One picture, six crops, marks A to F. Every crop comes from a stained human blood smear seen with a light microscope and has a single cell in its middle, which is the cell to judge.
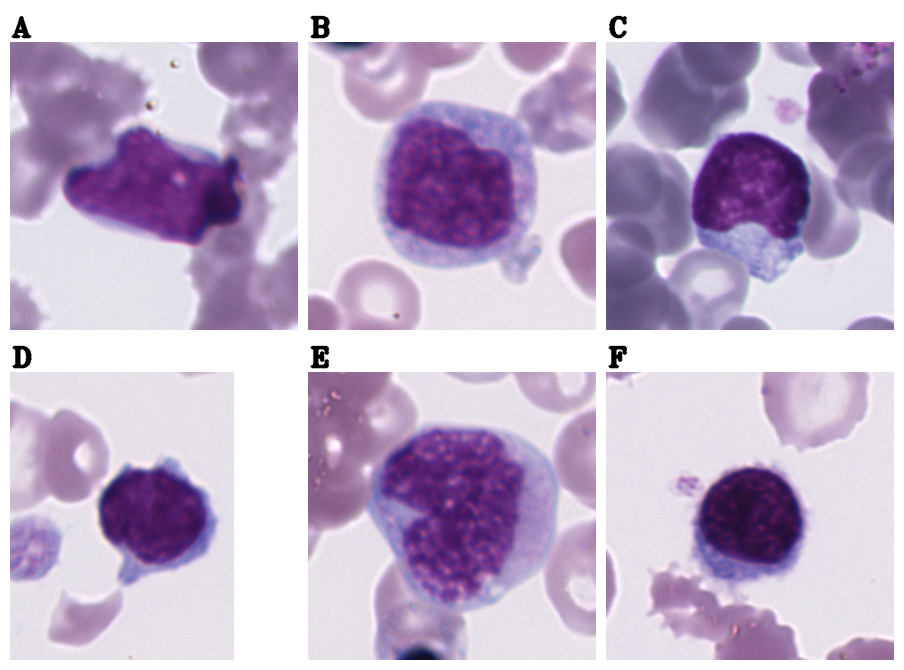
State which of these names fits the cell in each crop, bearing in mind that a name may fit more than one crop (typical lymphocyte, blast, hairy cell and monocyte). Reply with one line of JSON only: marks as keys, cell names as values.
{"A": "blast", "B": "monocyte", "C": "typical lymphocyte", "D": "typical lymphocyte", "E": "monocyte", "F": "hairy cell"}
